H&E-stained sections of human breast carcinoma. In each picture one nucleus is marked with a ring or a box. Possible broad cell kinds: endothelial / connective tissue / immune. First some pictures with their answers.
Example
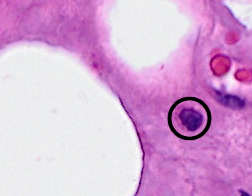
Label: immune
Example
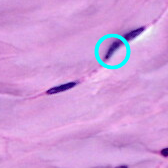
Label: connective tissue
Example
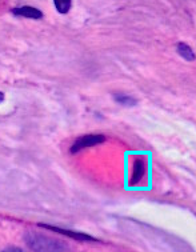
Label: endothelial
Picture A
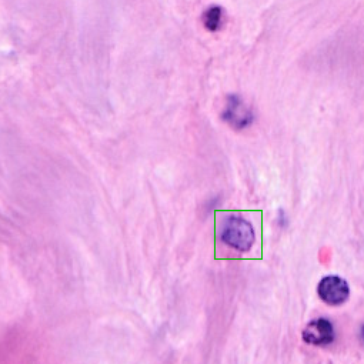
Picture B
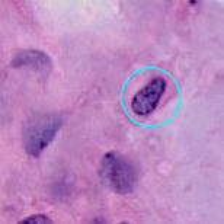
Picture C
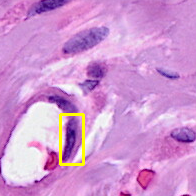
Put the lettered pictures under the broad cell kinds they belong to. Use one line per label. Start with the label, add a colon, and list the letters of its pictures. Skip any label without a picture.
endothelial: C
immune: A, B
